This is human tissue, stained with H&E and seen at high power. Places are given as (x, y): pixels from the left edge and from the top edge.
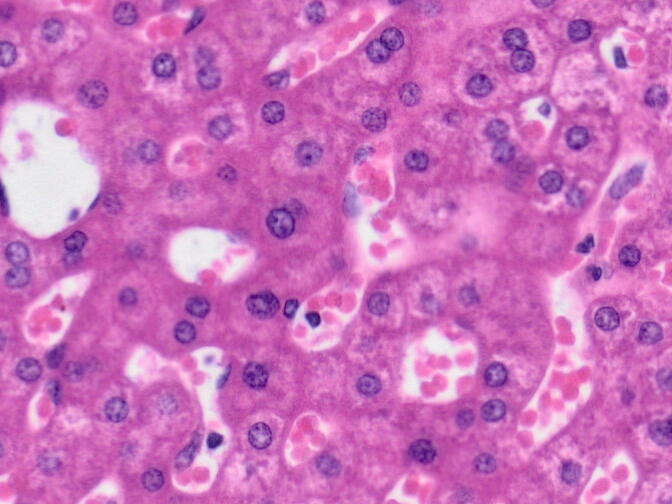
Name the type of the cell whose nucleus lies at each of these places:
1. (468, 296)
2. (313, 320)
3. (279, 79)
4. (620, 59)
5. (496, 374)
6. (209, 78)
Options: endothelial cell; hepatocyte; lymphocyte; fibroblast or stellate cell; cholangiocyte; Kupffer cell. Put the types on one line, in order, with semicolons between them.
hepatocyte; lymphocyte; Kupffer cell; lymphocyte; hepatocyte; hepatocyte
